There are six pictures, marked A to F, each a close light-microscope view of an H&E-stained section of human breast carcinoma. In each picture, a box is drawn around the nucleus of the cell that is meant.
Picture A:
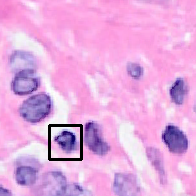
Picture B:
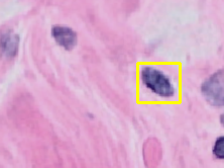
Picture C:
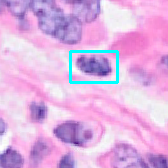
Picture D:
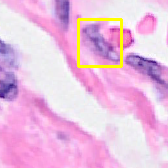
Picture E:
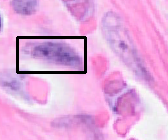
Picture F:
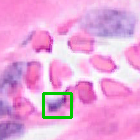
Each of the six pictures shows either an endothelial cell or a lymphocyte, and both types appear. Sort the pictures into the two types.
A: lymphocyte
B: lymphocyte
C: lymphocyte
D: endothelial cell
E: endothelial cell
F: endothelial cell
